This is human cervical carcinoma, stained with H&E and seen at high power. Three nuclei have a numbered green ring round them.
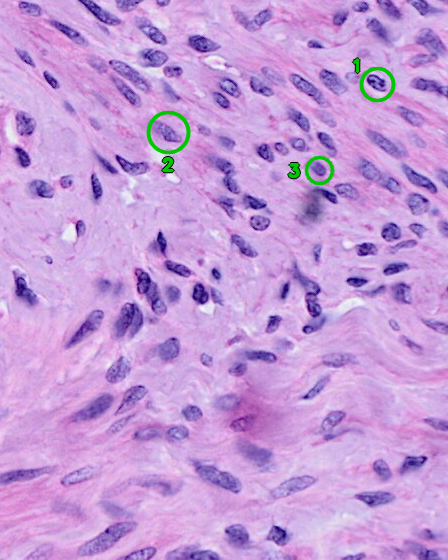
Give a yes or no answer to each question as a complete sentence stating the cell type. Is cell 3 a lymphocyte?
No, calling cell 3 a lymphocyte is a mistake; it is a smooth muscle cell.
